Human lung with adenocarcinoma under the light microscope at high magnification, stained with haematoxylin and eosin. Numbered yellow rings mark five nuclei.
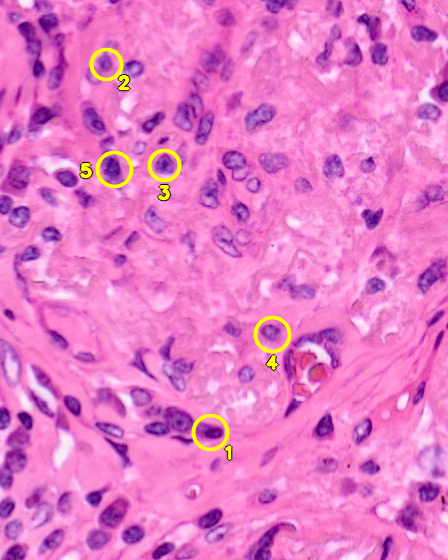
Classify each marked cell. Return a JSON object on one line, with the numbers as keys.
{"1": "plasma cell", "2": "lymphocyte", "3": "lymphocyte", "4": "mast cell", "5": "lymphocyte"}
